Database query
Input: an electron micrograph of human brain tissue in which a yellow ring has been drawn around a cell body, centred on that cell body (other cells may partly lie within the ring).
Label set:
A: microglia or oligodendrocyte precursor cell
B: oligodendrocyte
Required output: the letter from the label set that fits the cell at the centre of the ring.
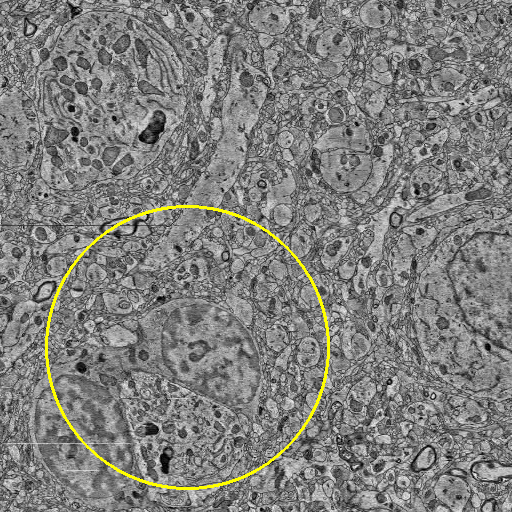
B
